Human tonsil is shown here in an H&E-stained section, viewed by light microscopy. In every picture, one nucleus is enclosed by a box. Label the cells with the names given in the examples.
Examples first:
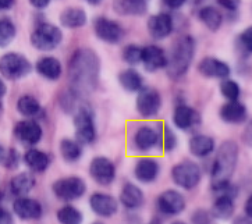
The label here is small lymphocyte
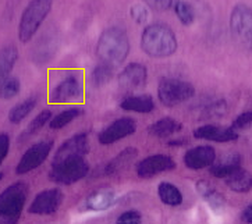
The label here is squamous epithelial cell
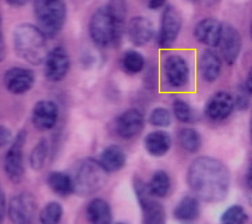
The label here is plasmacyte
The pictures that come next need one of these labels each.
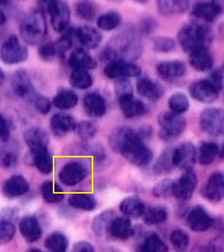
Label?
small lymphocyte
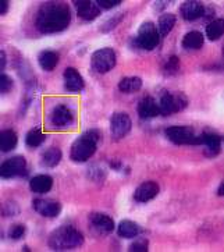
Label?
plasmacyte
